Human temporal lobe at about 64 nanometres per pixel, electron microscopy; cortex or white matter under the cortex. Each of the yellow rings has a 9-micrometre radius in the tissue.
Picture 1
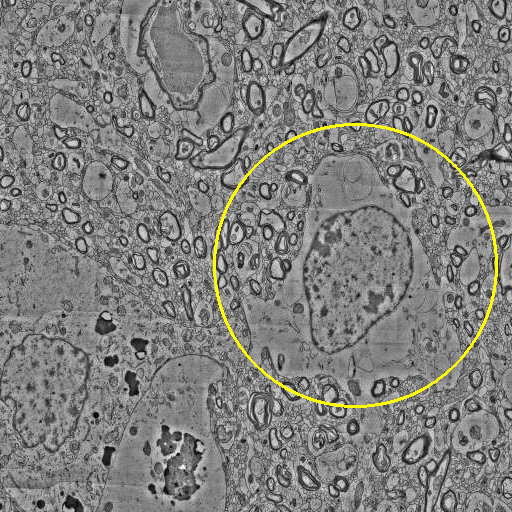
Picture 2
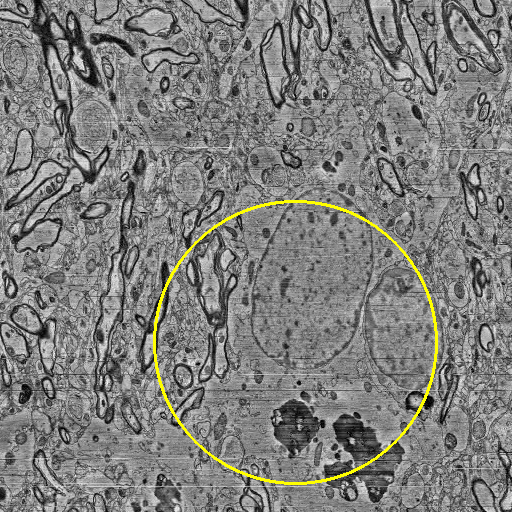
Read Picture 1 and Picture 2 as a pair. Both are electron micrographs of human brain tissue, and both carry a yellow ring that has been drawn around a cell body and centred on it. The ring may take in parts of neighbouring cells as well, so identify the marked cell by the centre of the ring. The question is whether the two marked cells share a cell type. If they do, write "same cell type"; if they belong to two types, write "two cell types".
same cell type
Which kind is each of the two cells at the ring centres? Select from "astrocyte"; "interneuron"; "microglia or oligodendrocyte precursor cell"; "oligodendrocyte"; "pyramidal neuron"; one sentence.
Each cell at the centre of a ring is an astrocyte.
